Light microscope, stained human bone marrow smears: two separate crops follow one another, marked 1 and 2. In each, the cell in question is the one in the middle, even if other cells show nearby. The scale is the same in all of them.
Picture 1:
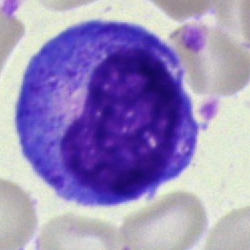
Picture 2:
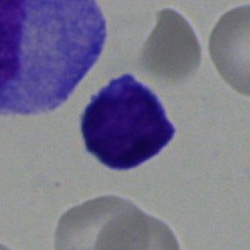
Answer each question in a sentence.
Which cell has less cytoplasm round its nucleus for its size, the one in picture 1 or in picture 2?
Of the two, the nucleus in picture 2 makes up the greater part of its cell.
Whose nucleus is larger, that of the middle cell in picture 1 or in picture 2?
The nucleus in picture 1 is larger, with about 2.5 times the area of the one in picture 2.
